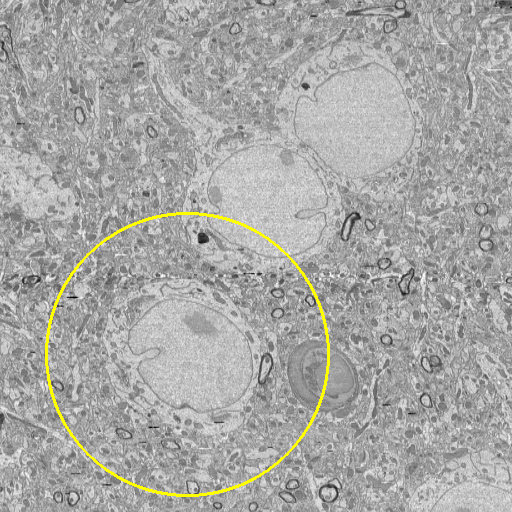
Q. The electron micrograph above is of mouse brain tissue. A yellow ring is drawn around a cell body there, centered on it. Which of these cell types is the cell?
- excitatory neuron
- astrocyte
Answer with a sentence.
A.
The cell under the ring's center is an excitatory neuron.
